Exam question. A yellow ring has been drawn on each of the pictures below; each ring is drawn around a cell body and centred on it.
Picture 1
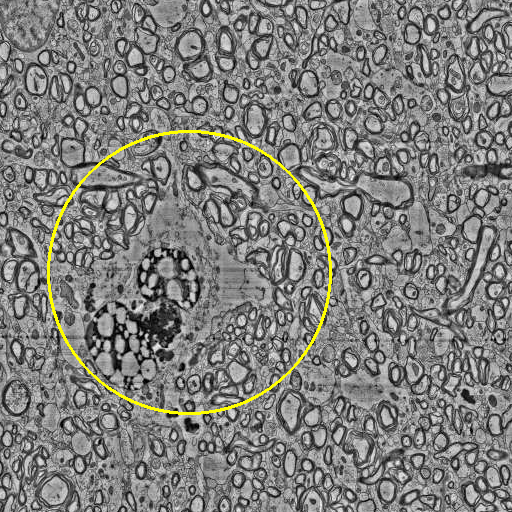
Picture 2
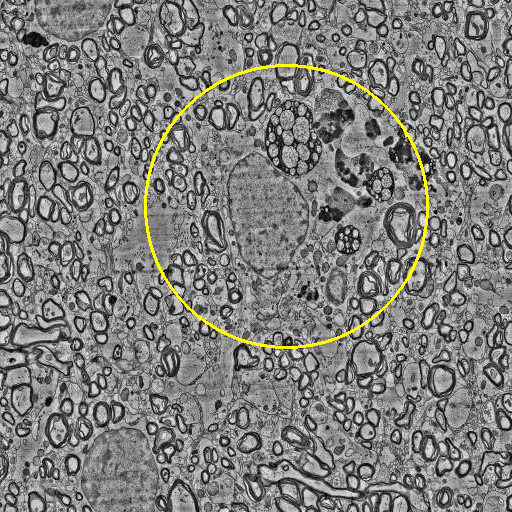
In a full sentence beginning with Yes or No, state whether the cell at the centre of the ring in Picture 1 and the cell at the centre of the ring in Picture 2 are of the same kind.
Yes, the two cells are of the same kind.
